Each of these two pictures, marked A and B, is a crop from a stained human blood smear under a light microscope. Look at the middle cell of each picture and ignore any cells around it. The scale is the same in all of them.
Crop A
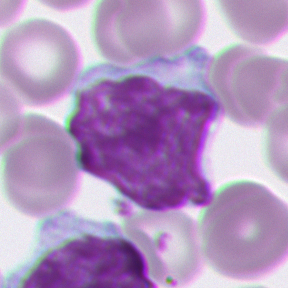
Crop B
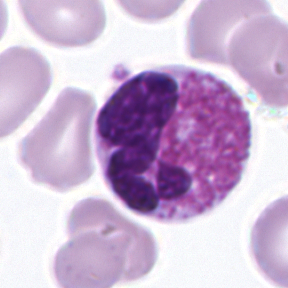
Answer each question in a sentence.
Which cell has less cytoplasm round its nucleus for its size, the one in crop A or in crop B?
The nucleus fills more of the cell in crop A than in crop B.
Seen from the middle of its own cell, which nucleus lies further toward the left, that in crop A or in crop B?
Seen within its cell, the nucleus in crop B lies further toward the left.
